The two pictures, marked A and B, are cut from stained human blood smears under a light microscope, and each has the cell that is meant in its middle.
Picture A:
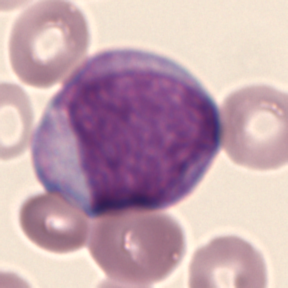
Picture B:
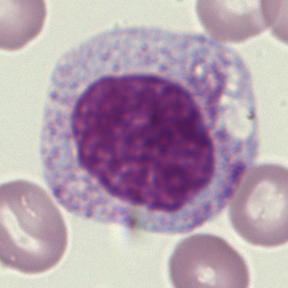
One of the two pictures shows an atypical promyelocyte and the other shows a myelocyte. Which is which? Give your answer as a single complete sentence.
Picture A shows an atypical promyelocyte and picture B shows a myelocyte.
